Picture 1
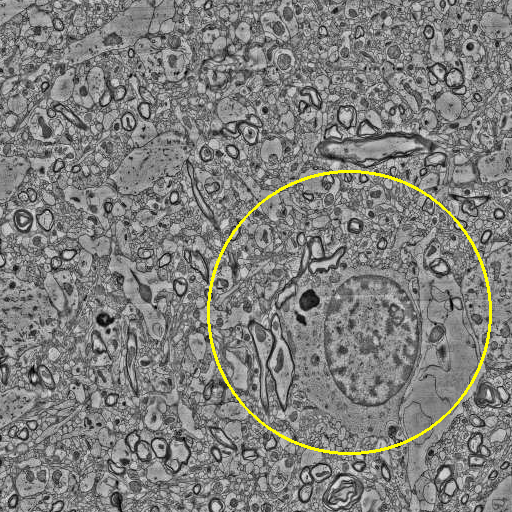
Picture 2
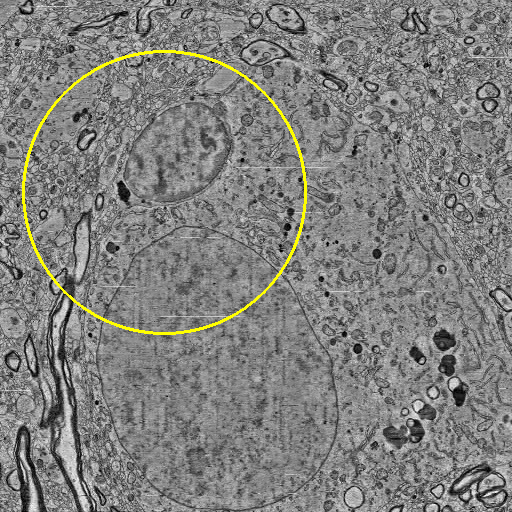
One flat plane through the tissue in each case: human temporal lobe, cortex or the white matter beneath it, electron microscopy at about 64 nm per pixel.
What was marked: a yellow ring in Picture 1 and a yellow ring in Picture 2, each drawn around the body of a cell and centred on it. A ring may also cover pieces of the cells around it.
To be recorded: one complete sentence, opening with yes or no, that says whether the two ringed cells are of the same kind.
Yes, the two ringed cells are of the same kind.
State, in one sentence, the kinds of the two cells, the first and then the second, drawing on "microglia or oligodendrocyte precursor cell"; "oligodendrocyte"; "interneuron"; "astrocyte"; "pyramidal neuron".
The ring centre holds an oligodendrocyte in each of the two pictures.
